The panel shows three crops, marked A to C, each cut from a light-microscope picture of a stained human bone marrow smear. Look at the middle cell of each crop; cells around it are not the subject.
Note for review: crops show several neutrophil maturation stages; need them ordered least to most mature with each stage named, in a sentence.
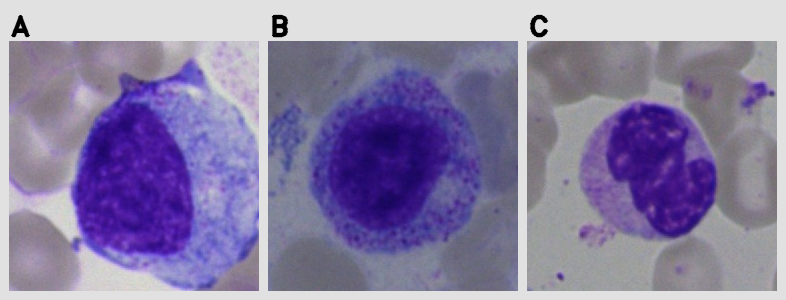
Along the maturation line, from least to most mature, sit crop A (a promyelocyte), crop B (a myelocyte) and crop C (a segmented neutrophil).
